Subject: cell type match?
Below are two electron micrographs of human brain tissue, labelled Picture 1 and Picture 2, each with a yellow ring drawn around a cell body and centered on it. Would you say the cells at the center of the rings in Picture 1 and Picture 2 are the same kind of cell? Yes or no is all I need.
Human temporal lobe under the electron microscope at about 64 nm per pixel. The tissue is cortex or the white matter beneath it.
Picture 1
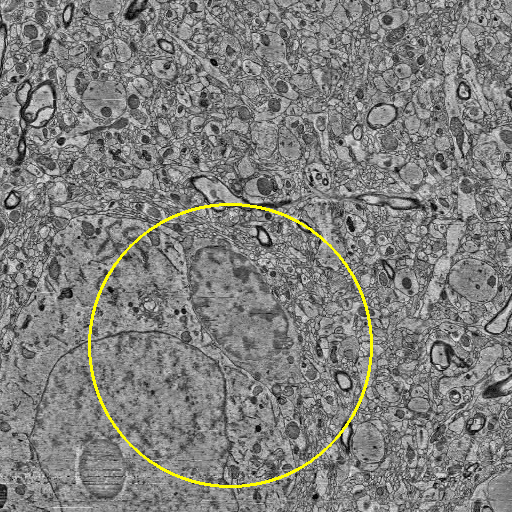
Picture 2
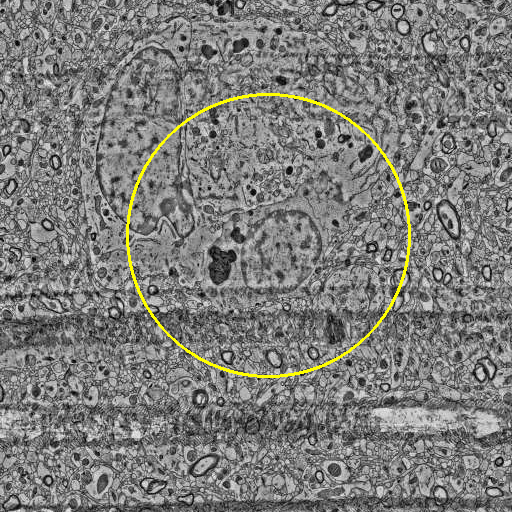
yes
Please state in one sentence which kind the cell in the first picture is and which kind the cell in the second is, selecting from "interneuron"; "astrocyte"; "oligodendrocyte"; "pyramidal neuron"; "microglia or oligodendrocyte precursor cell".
Both the first and the second picture show an oligodendrocyte in the ring.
